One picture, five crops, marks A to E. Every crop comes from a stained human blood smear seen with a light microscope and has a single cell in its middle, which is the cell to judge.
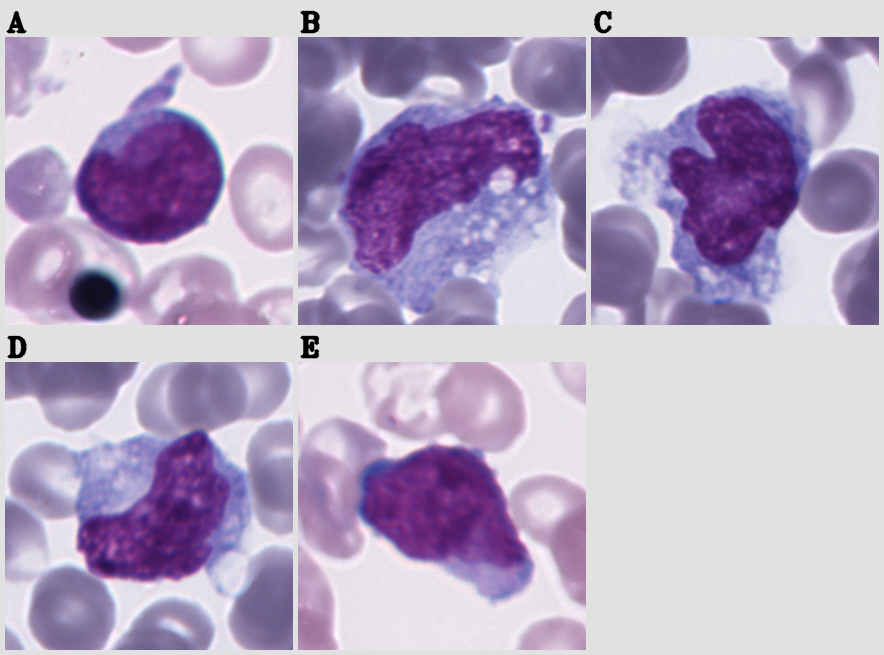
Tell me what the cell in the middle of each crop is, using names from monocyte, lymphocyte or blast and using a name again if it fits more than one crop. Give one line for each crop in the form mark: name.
A: blast
B: monocyte
C: monocyte
D: monocyte
E: blast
